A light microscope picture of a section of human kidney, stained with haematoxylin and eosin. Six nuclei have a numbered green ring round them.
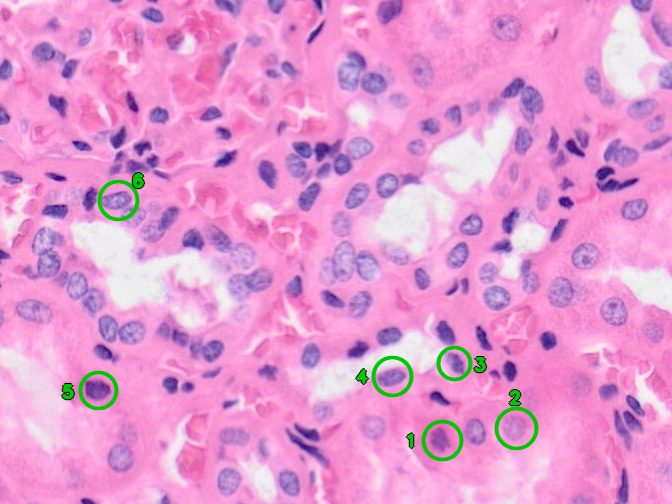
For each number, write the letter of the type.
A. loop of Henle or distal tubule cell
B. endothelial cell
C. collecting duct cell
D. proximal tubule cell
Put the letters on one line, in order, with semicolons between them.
D; D; A; A; D; C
